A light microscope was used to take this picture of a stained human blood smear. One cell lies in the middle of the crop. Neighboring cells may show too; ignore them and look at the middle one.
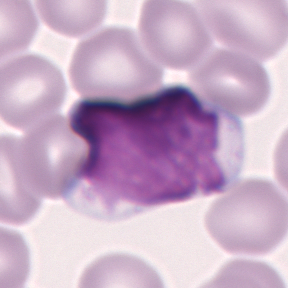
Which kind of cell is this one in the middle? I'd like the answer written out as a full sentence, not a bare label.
For this crop, the central cell is a large granular lymphocyte.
